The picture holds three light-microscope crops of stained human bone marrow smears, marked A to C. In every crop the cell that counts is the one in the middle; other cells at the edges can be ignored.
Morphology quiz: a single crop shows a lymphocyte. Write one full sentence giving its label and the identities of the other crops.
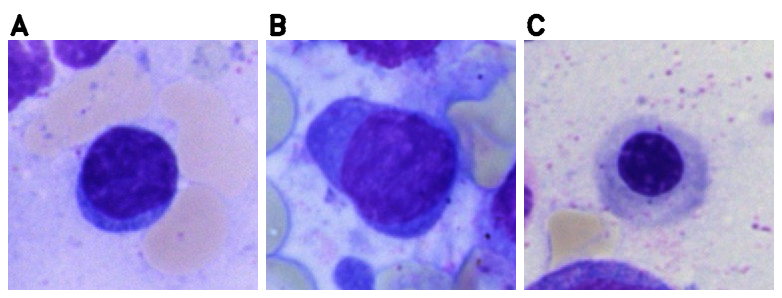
Sorting them out, crop A is a lymphocyte, while crop B is a plasma cell and crop C is an erythroblast.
